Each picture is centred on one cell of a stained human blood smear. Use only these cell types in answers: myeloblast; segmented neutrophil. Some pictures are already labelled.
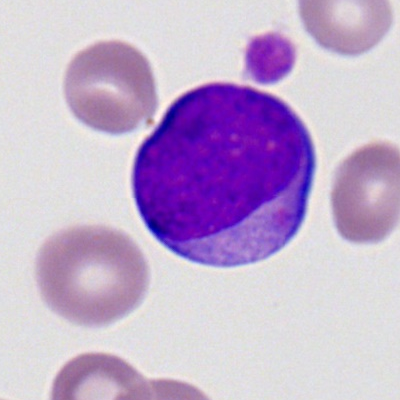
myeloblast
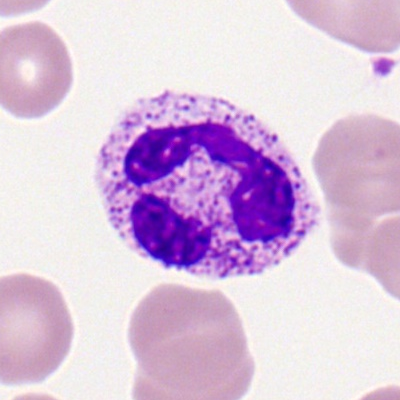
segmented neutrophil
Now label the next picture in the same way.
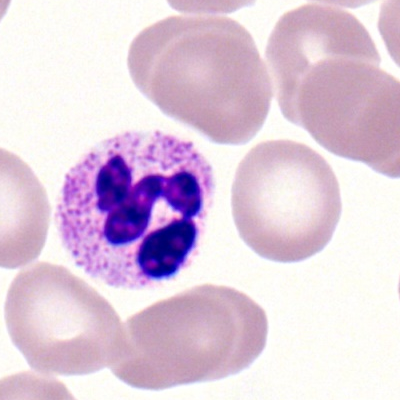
segmented neutrophil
